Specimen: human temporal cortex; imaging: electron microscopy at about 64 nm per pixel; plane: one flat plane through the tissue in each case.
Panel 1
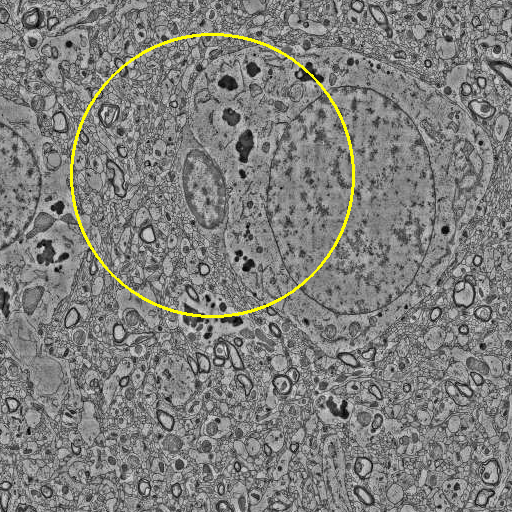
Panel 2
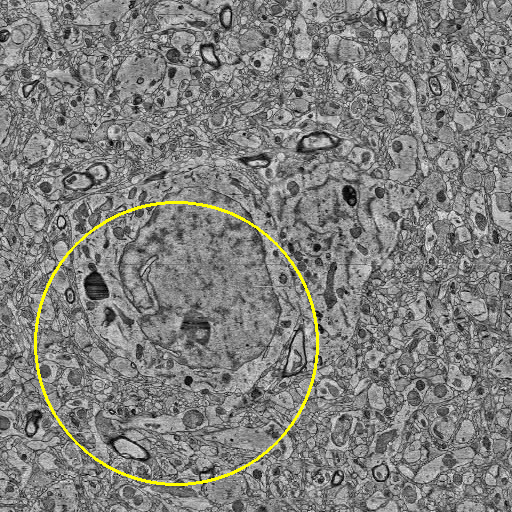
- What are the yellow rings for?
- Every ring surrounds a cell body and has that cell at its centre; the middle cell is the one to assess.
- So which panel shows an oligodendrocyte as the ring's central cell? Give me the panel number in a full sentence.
The panel whose ring is centred on the cell in question is panel 1.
